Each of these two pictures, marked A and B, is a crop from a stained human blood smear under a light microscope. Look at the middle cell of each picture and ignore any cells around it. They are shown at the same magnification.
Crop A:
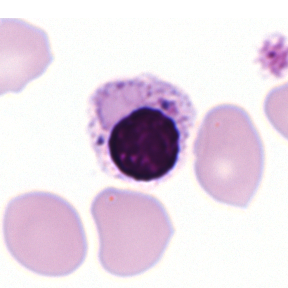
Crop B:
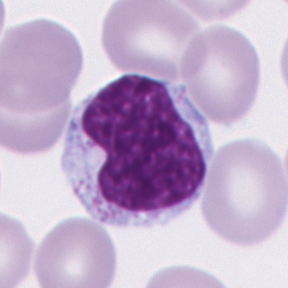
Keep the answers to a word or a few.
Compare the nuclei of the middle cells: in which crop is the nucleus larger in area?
B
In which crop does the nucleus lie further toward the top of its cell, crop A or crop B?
B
